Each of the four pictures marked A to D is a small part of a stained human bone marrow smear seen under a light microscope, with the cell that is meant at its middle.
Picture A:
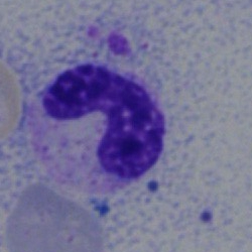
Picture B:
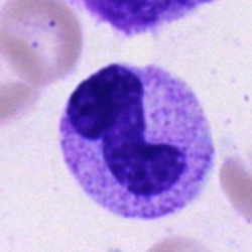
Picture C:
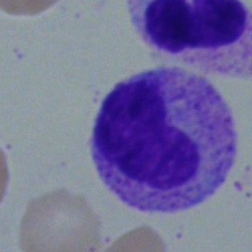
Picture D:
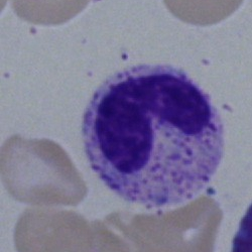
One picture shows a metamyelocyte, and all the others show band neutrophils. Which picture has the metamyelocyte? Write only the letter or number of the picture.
C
